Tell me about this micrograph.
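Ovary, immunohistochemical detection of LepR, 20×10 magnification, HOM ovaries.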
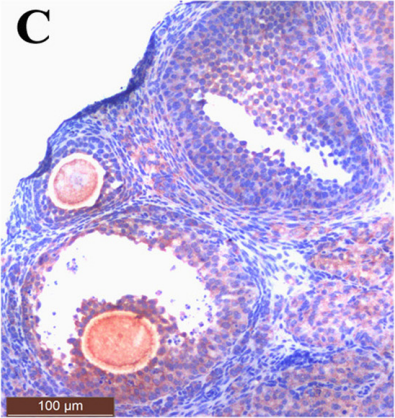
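Ovarian follicles are seen in which many layers of small, round, closely packed granulosa cells surround fluid-filled cavities and, in one, a large round oocyte lying in a mound of cells. The granulosa cells and oocytes stain red-brown, while the flattened, spindle-shaped cells between the follicles stain mostly blue.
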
